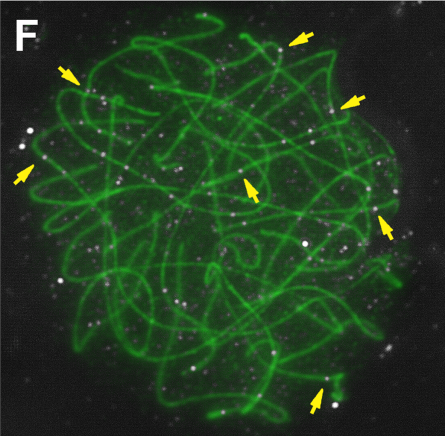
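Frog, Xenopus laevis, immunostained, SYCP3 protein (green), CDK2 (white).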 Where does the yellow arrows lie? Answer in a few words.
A: interstitial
